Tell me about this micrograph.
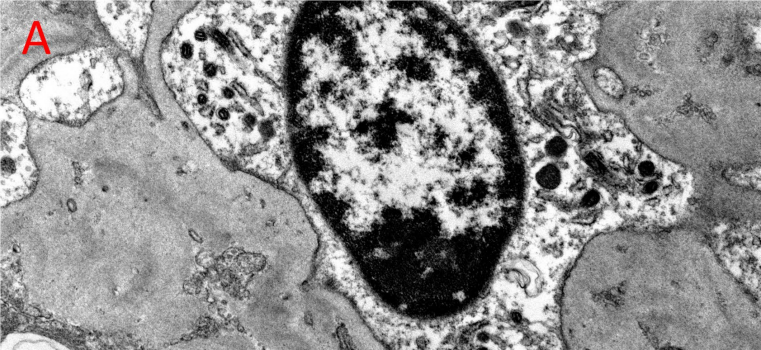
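The nucleus is bounded by a clear nuclear envelope. It has coarsely clumped chromatin, with a broad dense mass of heterochromatin at its lower pole and pale areas above it. The cytoplasm around the nucleus holds several round, electron-dense granules, some membrane profiles and small vesicles. The cell is hemmed in on either side by large regions of homogeneous, moderately grey material. Neighbouring cell processes at the upper left contain small dense bodies.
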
